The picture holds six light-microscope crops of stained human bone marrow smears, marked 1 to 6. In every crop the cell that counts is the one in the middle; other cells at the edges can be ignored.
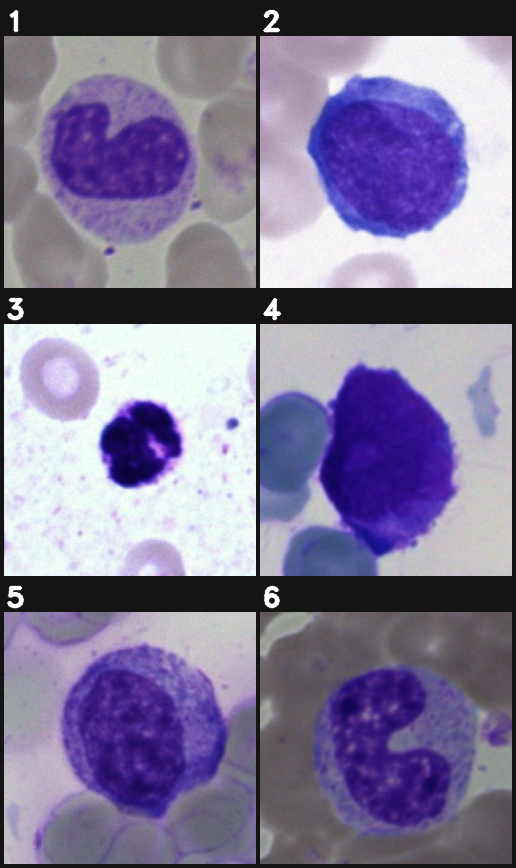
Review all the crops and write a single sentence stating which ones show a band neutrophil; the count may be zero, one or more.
On review, crops 1 and 6 show band neutrophils.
